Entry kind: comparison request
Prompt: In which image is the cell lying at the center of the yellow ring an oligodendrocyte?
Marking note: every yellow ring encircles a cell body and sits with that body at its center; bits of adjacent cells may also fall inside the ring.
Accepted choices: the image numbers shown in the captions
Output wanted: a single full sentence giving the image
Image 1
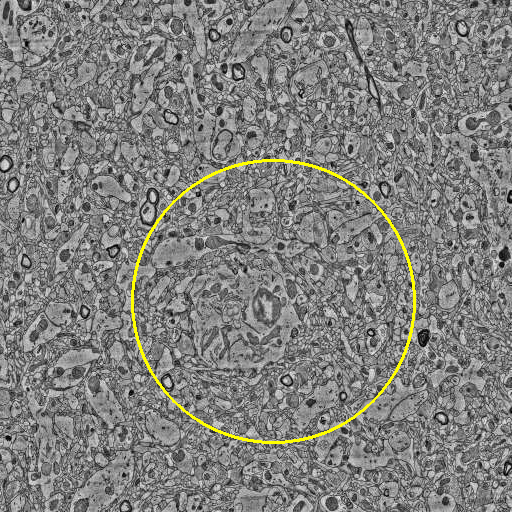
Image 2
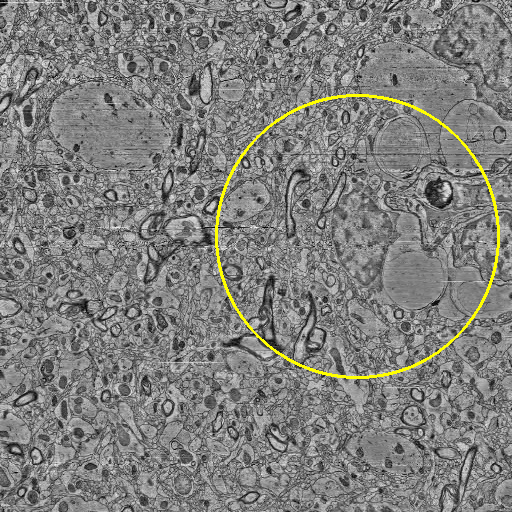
In image 2, the ringed cell at the center matches the prompt.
